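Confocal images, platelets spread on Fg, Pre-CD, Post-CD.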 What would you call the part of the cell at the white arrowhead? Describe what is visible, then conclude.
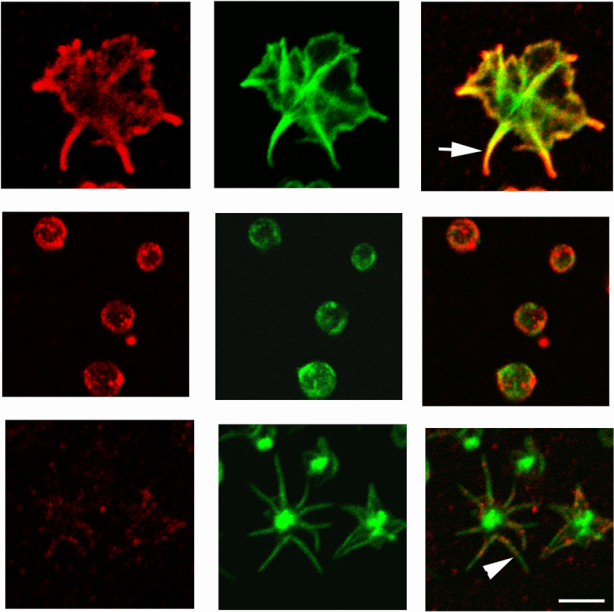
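Filopodia. The arrowhead points to a thin, straight green projection radiating from a star-shaped cell. The projection shows little or no red.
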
